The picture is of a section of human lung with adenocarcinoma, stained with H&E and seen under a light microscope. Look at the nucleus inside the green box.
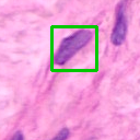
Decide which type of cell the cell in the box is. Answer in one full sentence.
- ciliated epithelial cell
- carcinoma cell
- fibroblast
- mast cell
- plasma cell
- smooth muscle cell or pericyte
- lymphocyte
Assigned to a cell type, the cell in the box is a smooth muscle cell or pericyte.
